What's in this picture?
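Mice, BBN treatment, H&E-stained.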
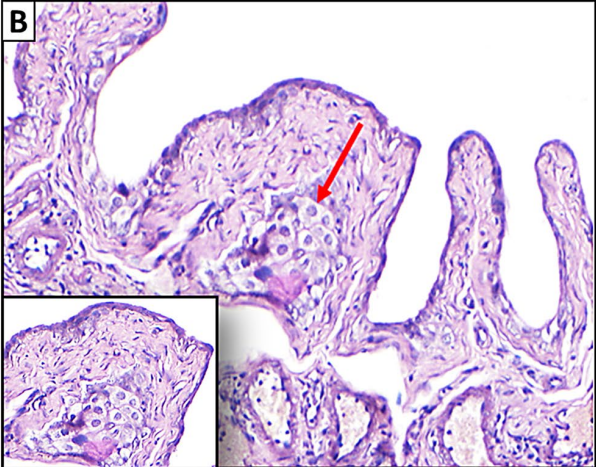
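Bladder wall forming broad papillary fronds, each with a core of loose pink connective tissue containing spindle-shaped stromal cells and small vessels, covered by a thin lining of epithelial cells with dark purple nuclei. Within the stroma of one broad frond lies a rounded, compact cluster of epithelial cells, separated from the surface lining. These cells have round, pale nuclei and clear to pale pink cytoplasm, and are packed closely together, standing out from the loosely arranged, elongated cells of the surrounding connective tissue. A small patch of denser pink material lies at the edge of the cluster.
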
